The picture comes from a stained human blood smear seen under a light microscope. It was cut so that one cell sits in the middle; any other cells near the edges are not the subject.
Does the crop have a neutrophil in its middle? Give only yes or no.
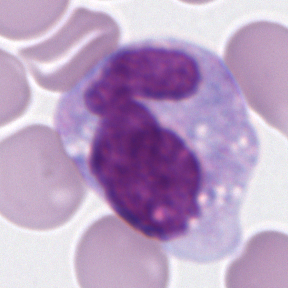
no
